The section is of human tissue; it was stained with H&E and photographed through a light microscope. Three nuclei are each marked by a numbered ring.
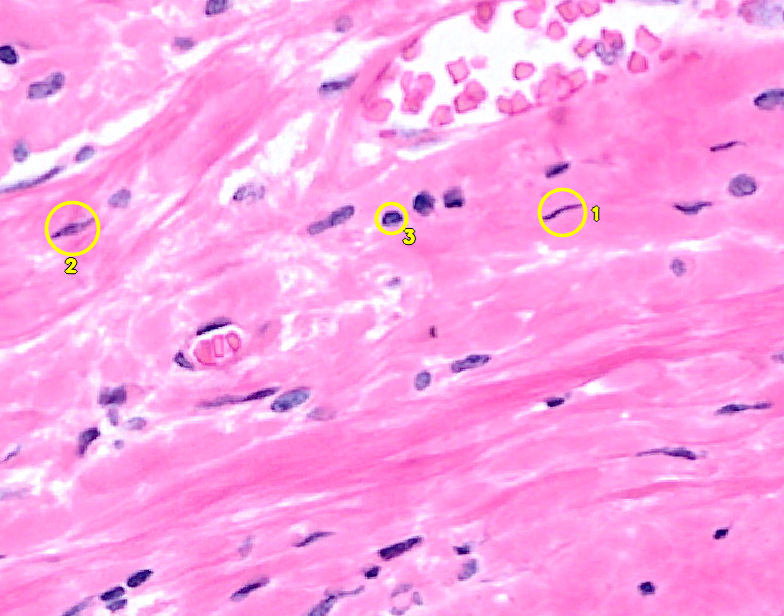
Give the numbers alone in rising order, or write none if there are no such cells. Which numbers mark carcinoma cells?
none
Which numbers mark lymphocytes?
3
